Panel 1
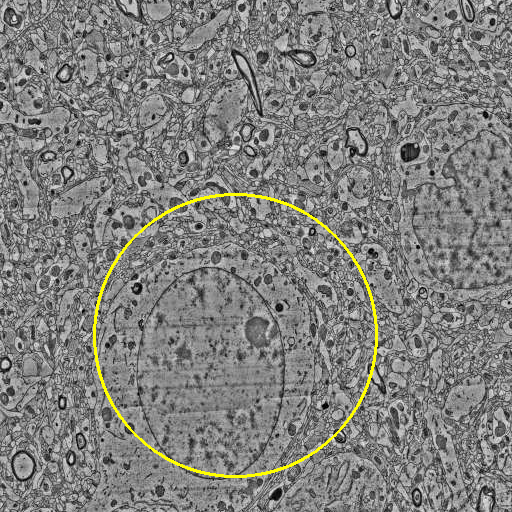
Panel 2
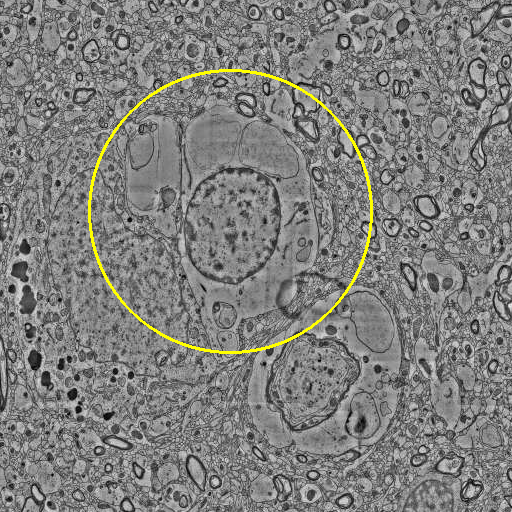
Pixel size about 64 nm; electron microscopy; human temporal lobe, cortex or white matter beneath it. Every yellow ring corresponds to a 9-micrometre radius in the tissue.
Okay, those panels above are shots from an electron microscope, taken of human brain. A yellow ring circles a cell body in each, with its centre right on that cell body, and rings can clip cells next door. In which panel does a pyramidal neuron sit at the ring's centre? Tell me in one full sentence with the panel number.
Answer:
The cell you asked for sits at the ring's centre in panel 1.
